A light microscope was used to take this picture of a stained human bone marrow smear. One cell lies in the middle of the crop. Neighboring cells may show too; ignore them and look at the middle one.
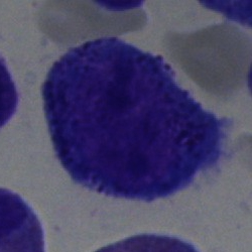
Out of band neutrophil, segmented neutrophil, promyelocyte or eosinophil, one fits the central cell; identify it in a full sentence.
In the crop, the cell of interest at the centre is a promyelocyte.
